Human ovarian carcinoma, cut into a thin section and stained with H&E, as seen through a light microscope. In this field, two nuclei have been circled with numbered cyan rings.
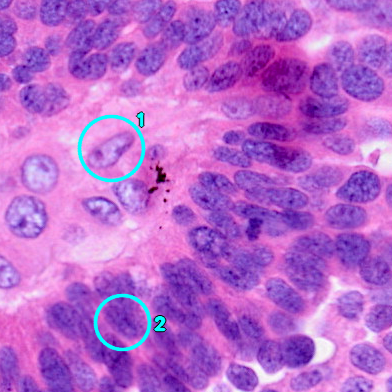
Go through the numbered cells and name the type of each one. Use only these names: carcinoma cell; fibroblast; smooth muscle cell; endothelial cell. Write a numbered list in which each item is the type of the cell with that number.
1. fibroblast
2. carcinoma cell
